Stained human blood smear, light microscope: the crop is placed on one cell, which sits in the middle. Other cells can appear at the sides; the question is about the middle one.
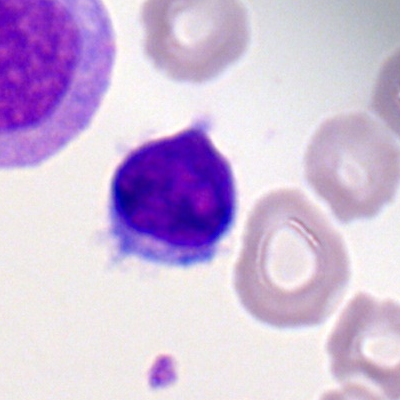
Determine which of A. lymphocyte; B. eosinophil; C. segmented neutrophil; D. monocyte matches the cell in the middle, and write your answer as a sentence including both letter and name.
Answer key: option A, the middle cell being a lymphocyte.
